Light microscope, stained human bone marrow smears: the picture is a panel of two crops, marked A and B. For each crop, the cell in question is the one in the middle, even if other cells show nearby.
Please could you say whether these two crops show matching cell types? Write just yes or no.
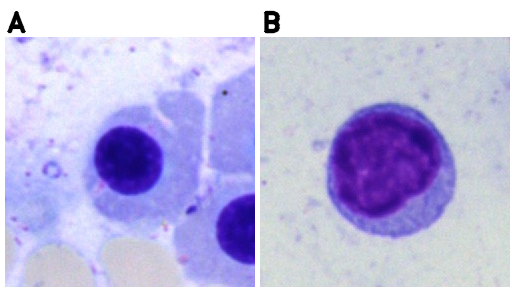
no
